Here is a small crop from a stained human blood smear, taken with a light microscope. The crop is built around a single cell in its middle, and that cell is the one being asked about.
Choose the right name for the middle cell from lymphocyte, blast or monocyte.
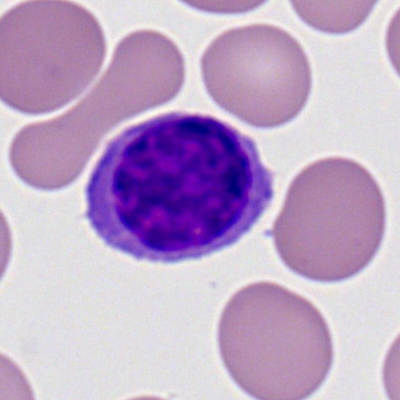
lymphocyte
